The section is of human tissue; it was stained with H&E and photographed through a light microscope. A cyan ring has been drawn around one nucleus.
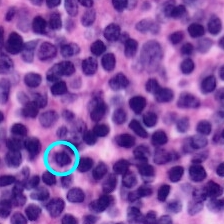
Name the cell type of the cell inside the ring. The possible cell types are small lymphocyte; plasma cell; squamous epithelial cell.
small lymphocyte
